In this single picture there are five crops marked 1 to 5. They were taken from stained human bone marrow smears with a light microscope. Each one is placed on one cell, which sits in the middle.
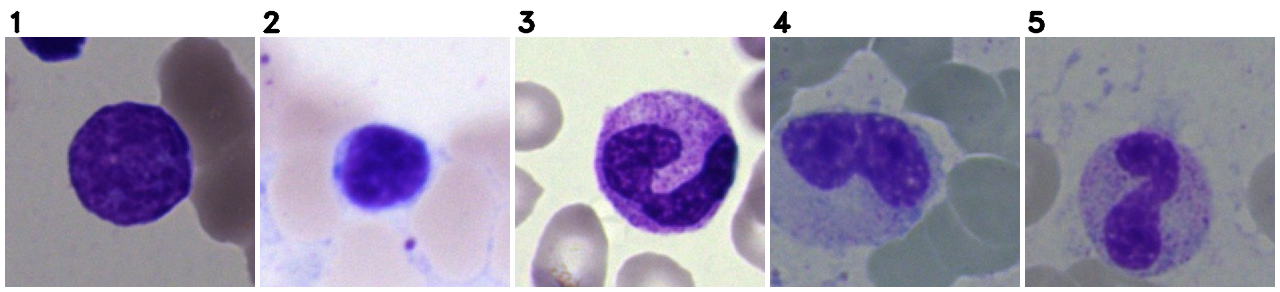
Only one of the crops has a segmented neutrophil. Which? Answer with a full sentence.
Crop 3 shows a segmented neutrophil, and no other crop does.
